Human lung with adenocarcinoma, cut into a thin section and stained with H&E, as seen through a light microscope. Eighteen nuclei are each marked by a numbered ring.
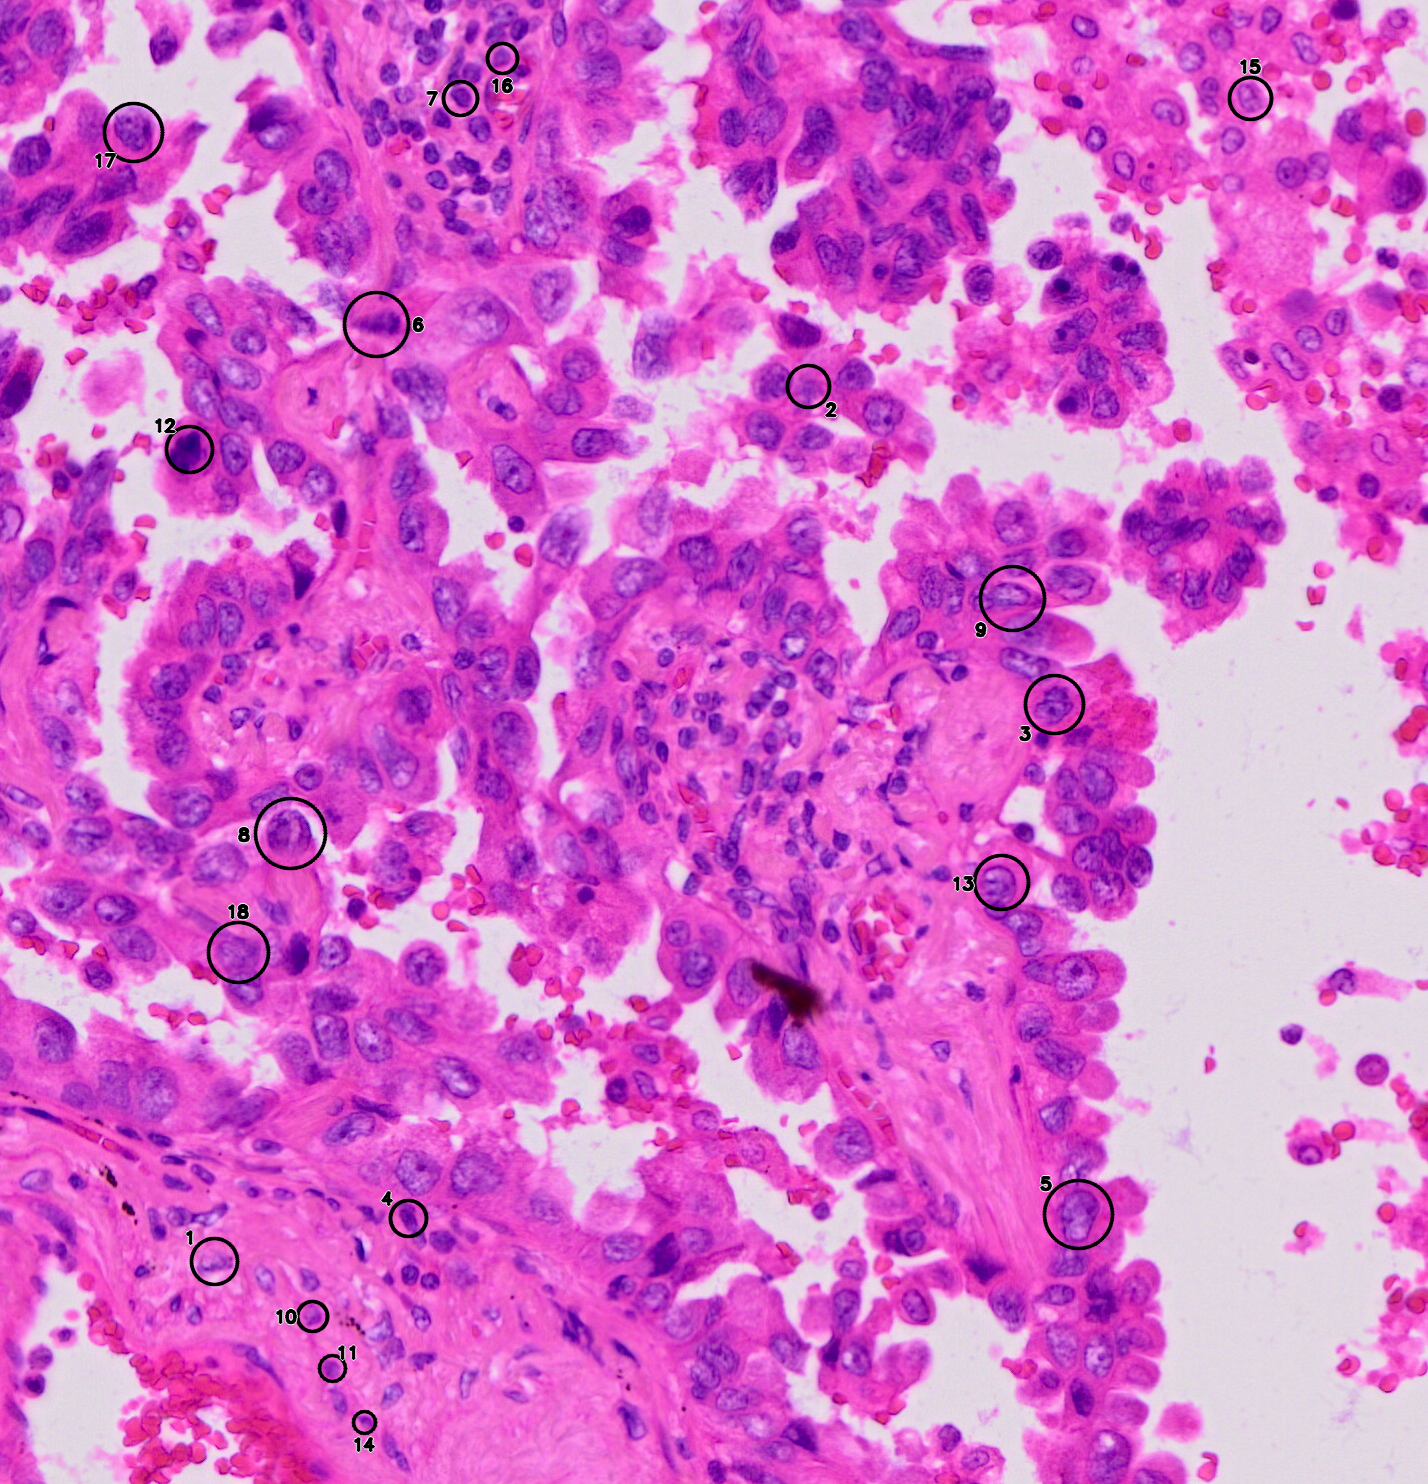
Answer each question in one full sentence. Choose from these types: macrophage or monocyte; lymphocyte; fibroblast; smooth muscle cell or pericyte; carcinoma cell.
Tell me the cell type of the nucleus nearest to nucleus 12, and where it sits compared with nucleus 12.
The closest nucleus belongs to a carcinoma cell and sits to the right of nucleus 12.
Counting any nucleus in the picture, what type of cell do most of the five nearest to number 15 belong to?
Of the five nuclei nearest to number 15, most belong to macrophages or monocytes.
